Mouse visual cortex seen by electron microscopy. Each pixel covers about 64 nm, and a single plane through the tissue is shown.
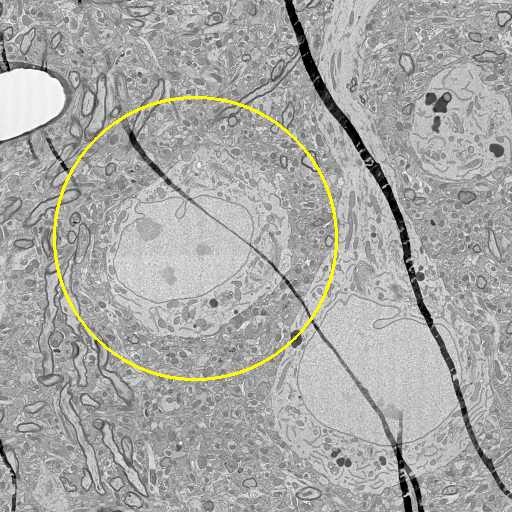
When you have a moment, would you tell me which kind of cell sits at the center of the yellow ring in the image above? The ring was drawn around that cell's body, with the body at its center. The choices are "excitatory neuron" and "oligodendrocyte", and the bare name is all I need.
excitatory neuron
